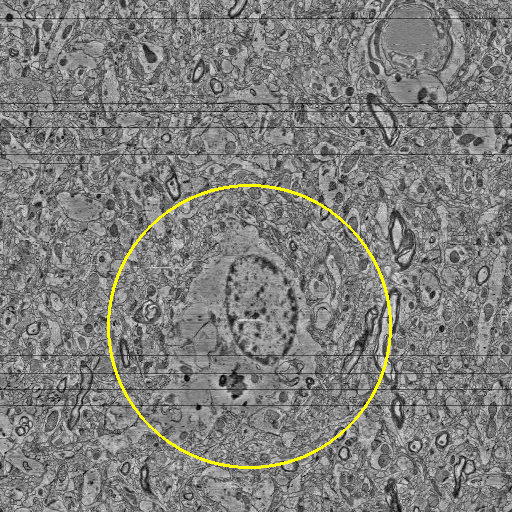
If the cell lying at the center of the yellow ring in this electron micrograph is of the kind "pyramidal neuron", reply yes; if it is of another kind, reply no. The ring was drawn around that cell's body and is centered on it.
no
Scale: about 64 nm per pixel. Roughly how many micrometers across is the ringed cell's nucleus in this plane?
About 7 by 4 micrometres; in this plane the nucleus is clearly longer than it is wide.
